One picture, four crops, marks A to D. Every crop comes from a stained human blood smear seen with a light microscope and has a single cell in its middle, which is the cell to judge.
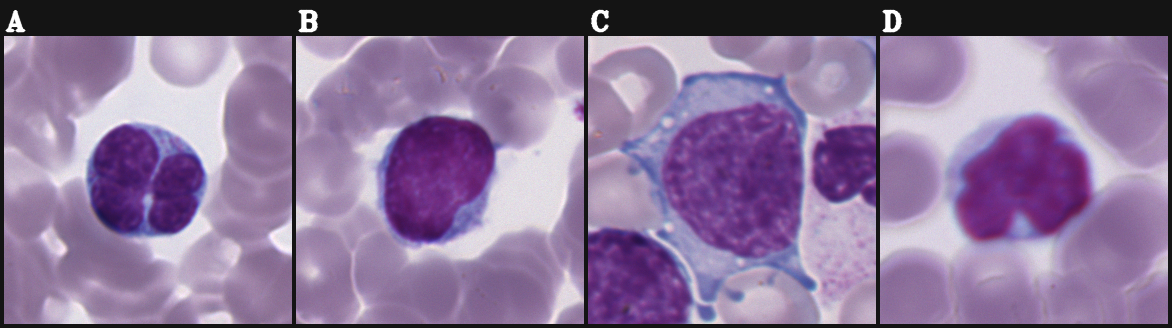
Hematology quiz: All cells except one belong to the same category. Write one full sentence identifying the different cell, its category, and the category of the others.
Crop C is a myeloblast, and the other crops all show typical lymphocytes.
